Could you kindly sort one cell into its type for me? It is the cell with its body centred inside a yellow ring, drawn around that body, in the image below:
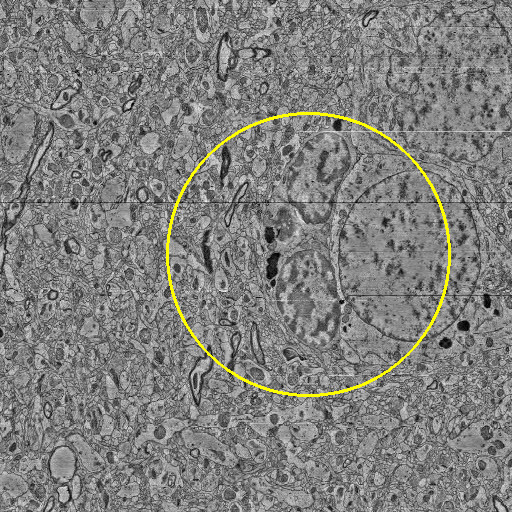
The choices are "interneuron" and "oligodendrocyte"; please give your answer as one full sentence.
The cell whose body lies centred in the yellow ring here is an oligodendrocyte.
